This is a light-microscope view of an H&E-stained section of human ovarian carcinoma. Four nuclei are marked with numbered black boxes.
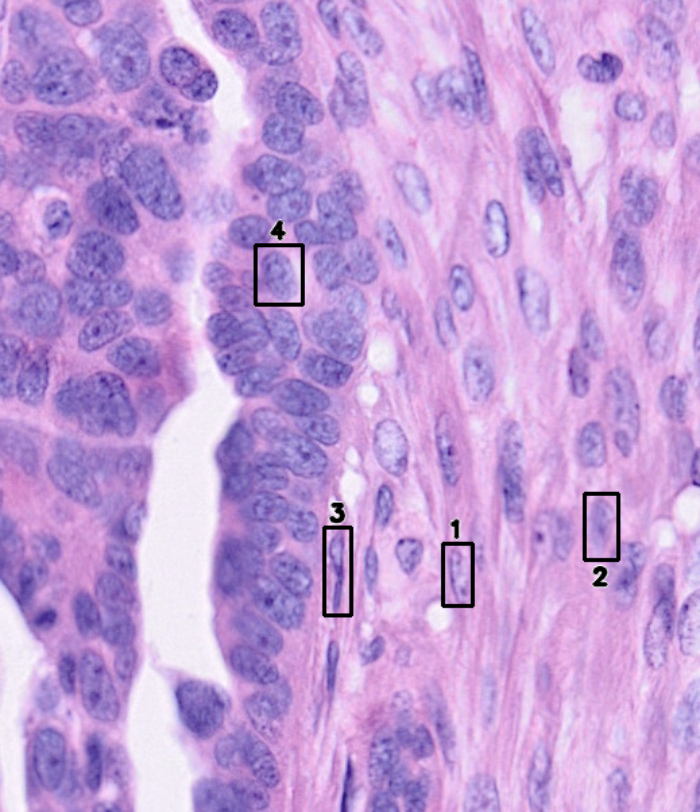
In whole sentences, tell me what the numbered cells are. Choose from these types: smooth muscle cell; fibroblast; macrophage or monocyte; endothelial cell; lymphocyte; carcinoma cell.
Cell 1 is a fibroblast, cell 2 is a fibroblast, cell 3 is a fibroblast and cell 4 is a carcinoma cell.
